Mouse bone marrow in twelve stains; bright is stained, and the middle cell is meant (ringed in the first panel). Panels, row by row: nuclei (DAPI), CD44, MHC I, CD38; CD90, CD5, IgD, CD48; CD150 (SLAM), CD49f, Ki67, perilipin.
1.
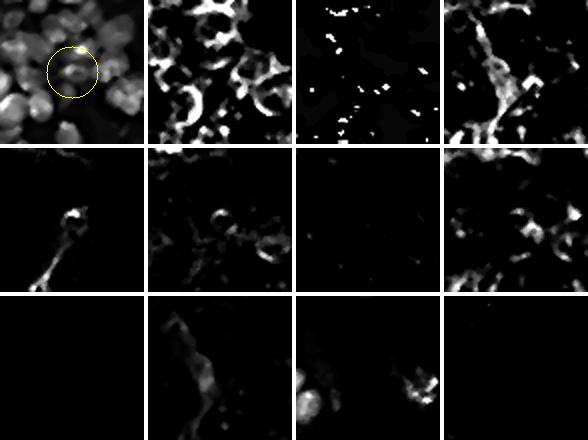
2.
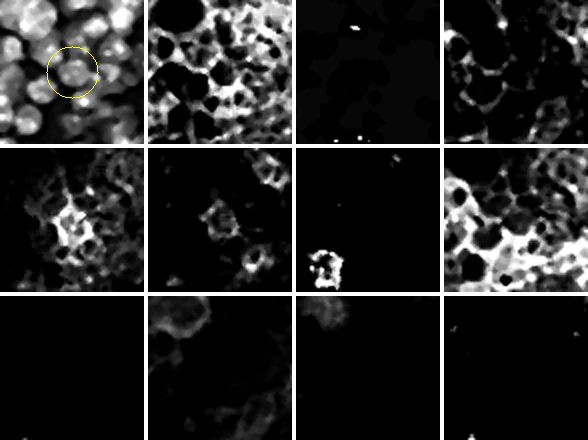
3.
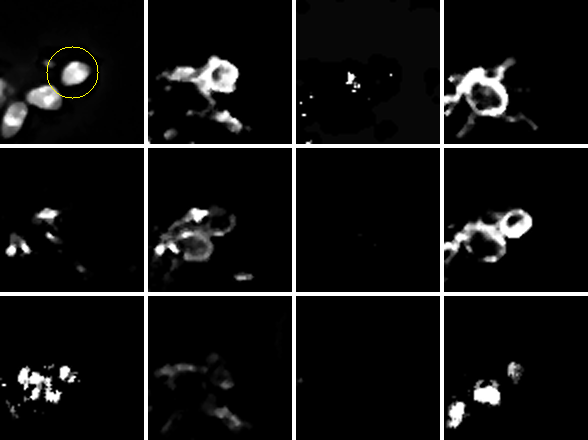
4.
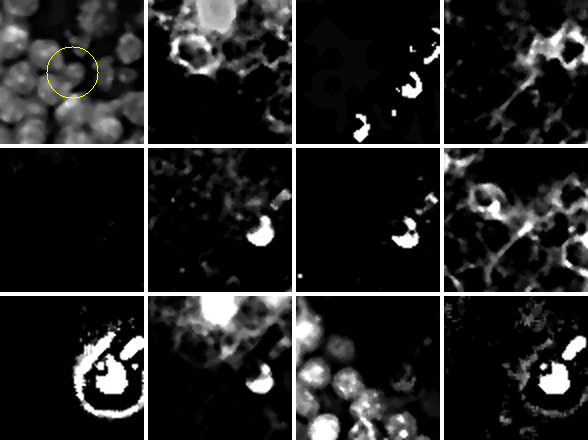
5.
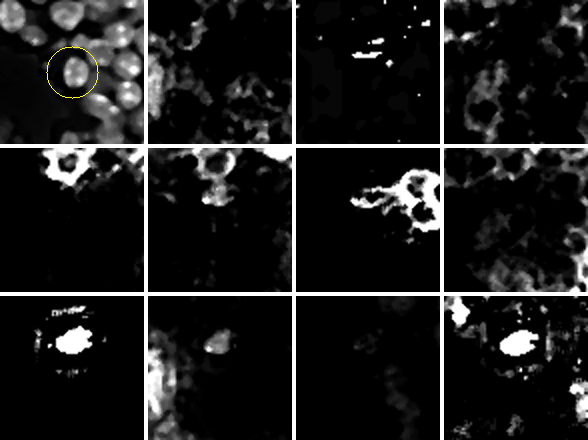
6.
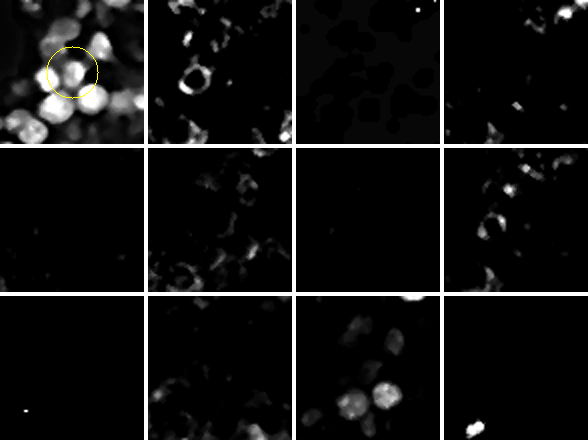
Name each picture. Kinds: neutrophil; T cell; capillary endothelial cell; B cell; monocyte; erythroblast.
1. T cell
2. T cell
3. monocyte
4. capillary endothelial cell
5. B cell
6. erythroblast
